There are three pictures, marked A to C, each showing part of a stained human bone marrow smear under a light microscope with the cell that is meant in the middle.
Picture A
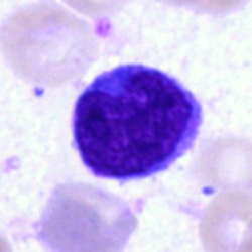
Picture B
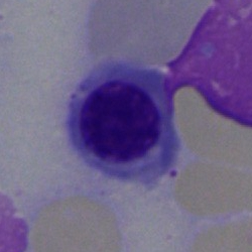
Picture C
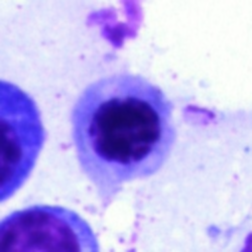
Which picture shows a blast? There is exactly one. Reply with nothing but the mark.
A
